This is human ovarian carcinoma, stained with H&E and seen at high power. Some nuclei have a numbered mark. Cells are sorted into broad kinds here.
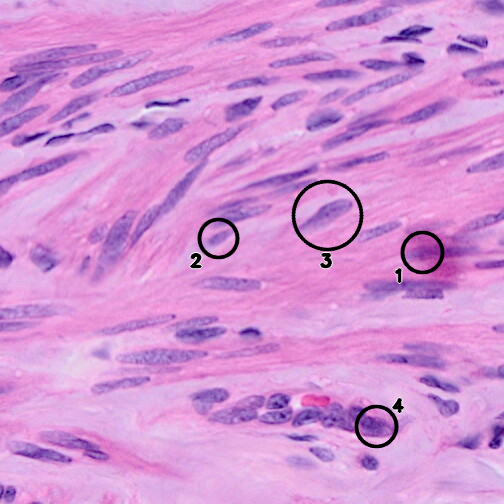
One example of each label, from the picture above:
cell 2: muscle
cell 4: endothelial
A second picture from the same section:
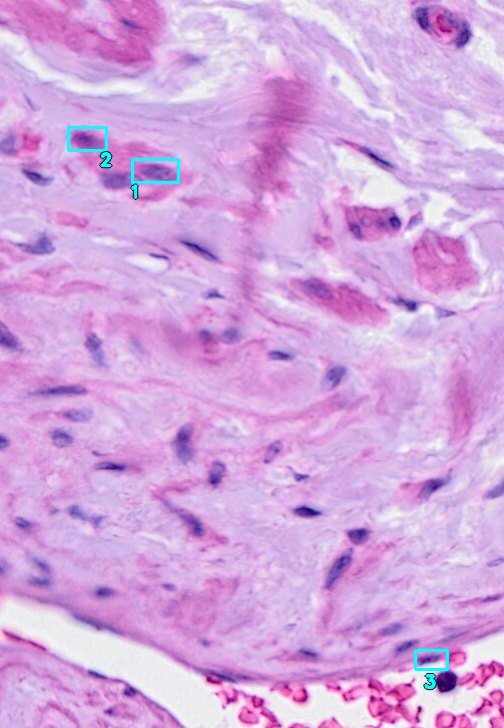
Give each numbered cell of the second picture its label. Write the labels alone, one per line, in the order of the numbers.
muscle
muscle
endothelial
